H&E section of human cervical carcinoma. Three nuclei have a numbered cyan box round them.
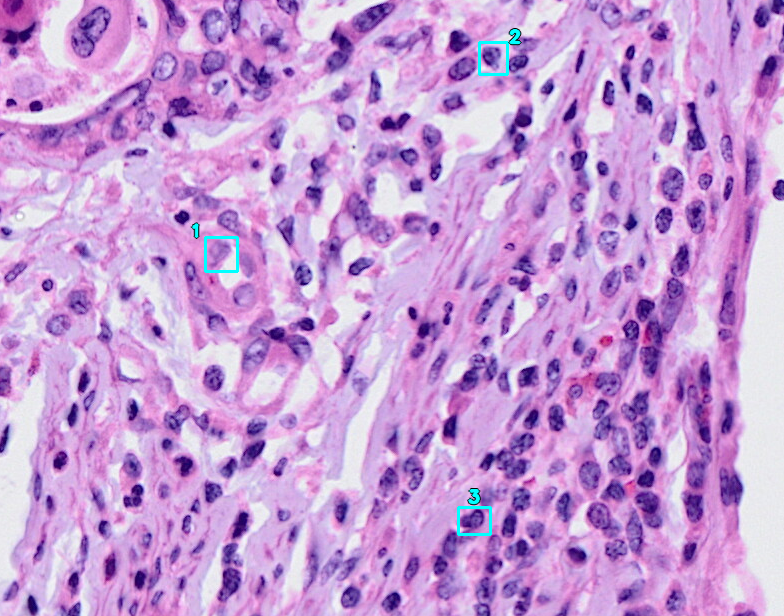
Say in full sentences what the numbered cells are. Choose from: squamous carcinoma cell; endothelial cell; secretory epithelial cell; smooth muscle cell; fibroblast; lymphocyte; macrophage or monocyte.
Cell 1 is an endothelial cell. Cells 2 and 3 are lymphocytes.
